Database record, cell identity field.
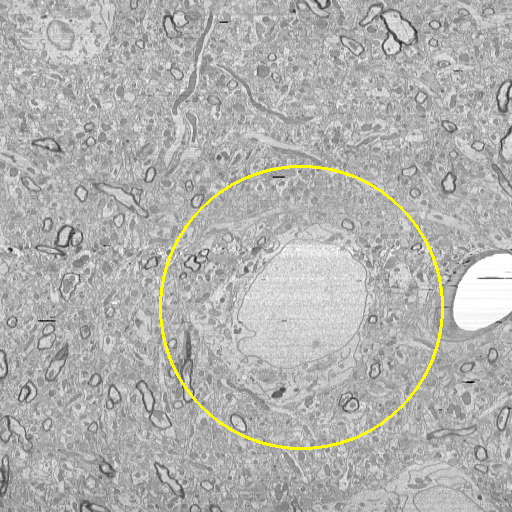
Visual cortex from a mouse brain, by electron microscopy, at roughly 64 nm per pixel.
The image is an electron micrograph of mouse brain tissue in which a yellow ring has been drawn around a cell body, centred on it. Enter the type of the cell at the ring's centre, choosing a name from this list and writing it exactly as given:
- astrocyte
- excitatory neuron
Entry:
excitatory neuron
